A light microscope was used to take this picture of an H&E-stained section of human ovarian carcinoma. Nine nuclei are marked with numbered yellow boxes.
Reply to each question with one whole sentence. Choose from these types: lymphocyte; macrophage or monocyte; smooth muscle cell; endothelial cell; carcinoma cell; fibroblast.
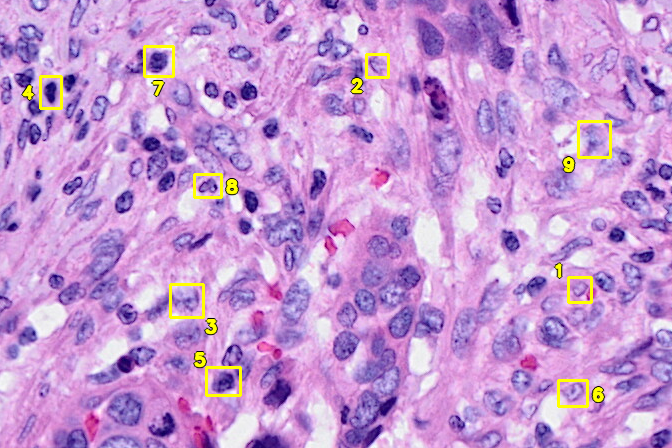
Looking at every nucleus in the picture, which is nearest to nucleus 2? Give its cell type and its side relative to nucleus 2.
The closest nucleus belongs to a macrophage or monocyte and sits to the left of nucleus 2.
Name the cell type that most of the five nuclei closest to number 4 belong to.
Lymphocytes account for more than half of the five nuclei nearest to number 4.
